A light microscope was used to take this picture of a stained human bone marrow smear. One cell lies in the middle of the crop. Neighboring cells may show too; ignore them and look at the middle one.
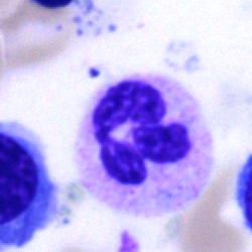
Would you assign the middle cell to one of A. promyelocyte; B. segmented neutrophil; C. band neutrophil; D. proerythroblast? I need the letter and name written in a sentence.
The centrally positioned cell is a segmented neutrophil, consistent with option B, which is correct.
